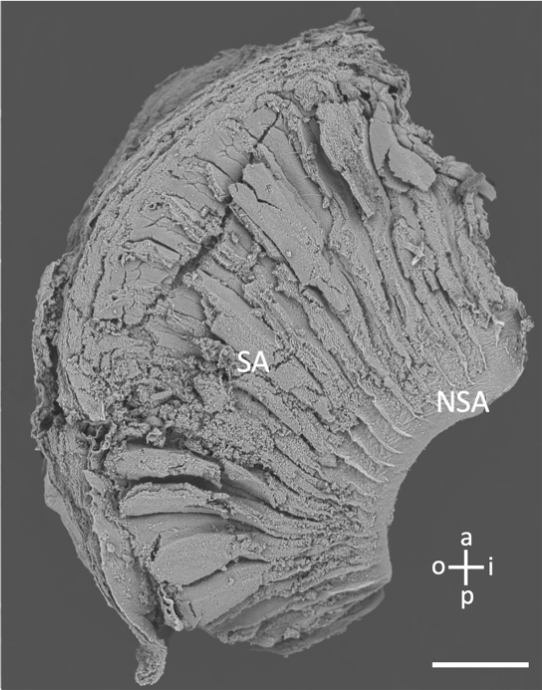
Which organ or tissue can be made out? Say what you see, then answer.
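Stacked thin plate-like folds fan out across the specimen. The folds converge toward a smoother margin on one side. On this evidence: lamellae.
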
